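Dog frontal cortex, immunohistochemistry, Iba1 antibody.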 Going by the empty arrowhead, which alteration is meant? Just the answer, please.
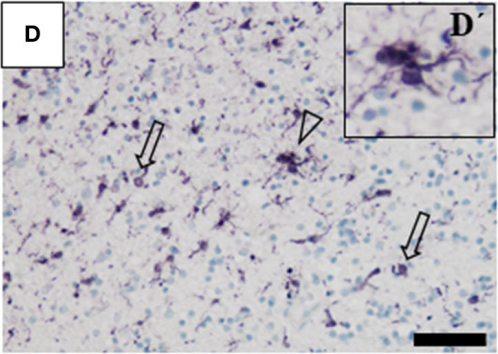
Cluster appearance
